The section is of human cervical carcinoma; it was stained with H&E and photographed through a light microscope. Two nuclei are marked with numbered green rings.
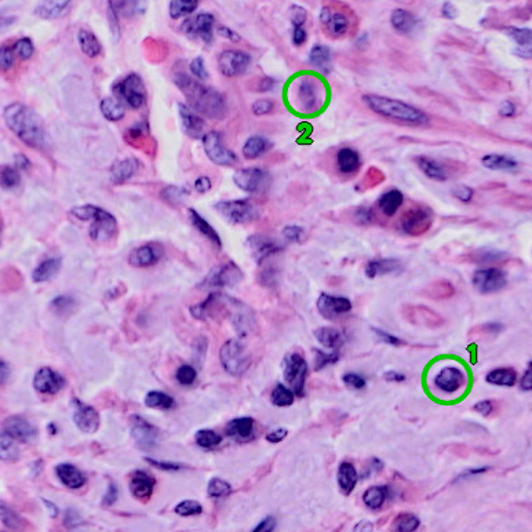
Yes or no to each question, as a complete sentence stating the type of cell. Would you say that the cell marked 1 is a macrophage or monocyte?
No, the cell at number 1 is a lymphocyte instead of a macrophage or monocyte.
